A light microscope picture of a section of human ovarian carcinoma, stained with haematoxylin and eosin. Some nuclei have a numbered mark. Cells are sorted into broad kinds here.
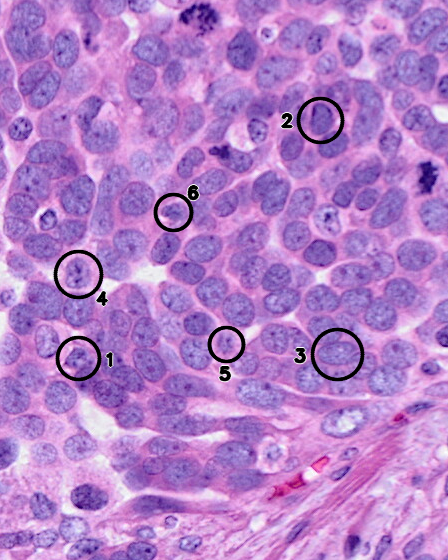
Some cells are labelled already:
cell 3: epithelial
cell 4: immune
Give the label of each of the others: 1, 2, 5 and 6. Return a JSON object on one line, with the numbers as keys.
{"1": "immune", "2": "epithelial", "5": "immune", "6": "immune"}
